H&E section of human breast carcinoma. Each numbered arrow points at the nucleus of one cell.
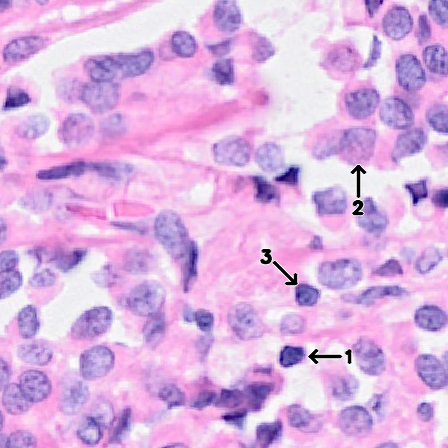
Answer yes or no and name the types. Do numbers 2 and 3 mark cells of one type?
No, cell 2 is a carcinoma cell whereas cell 3 is a lymphocyte.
